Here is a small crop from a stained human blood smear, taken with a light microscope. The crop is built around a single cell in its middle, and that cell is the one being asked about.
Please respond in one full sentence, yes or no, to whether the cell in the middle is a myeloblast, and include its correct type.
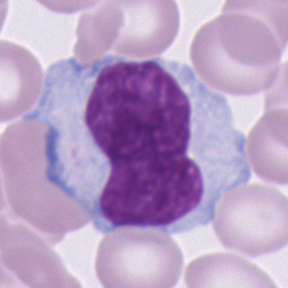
No, this cell in the middle is a monocyte, so it is not a myeloblast.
